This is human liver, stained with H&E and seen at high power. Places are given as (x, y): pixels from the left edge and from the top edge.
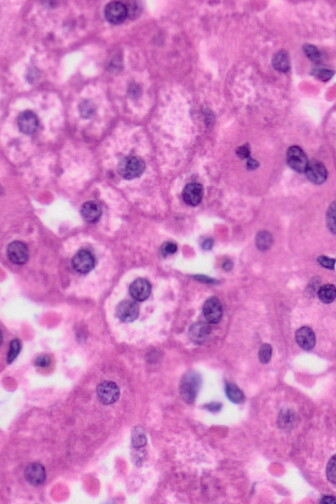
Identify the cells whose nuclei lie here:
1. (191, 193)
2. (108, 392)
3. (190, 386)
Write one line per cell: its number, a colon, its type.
1: hepatocyte
2: hepatocyte
3: endothelial cell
